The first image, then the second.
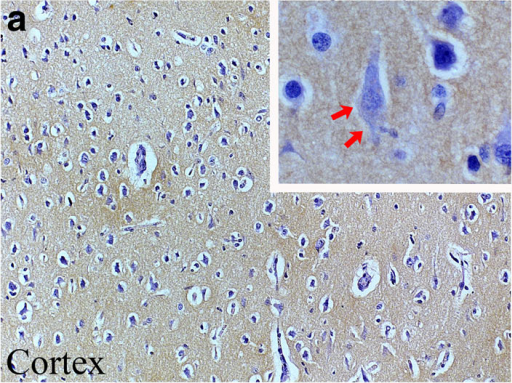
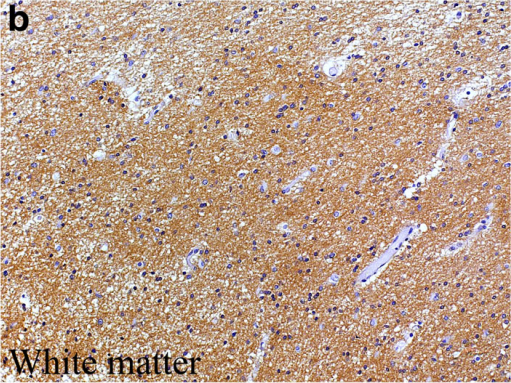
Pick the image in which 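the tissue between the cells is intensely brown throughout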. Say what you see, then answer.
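First image: the background between cells is pale beige-brown. Second image: the background is a dense, deep brown meshwork with small blue nuclei scattered in it. The answer: the second image.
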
